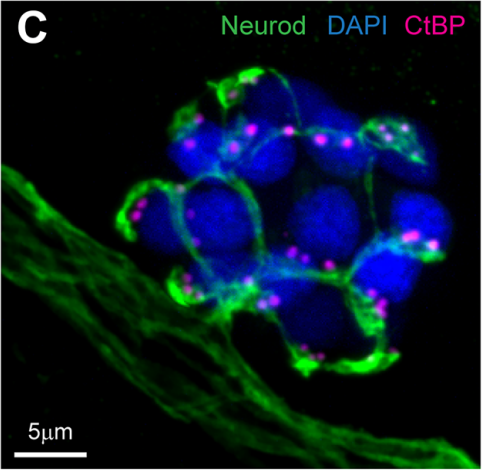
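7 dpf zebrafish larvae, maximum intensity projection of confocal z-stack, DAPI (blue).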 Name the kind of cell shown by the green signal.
Afferent neurons.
